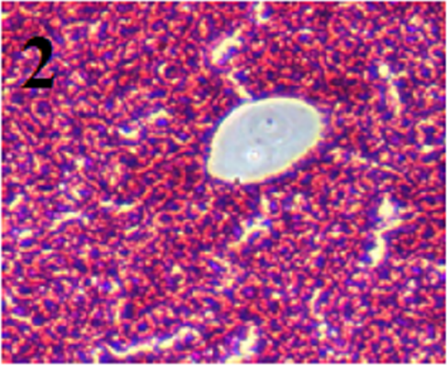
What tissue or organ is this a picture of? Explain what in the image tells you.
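Liver. Compact sheet of polygonal cells with no tubules. An oval vessel lumen lies among the cells.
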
